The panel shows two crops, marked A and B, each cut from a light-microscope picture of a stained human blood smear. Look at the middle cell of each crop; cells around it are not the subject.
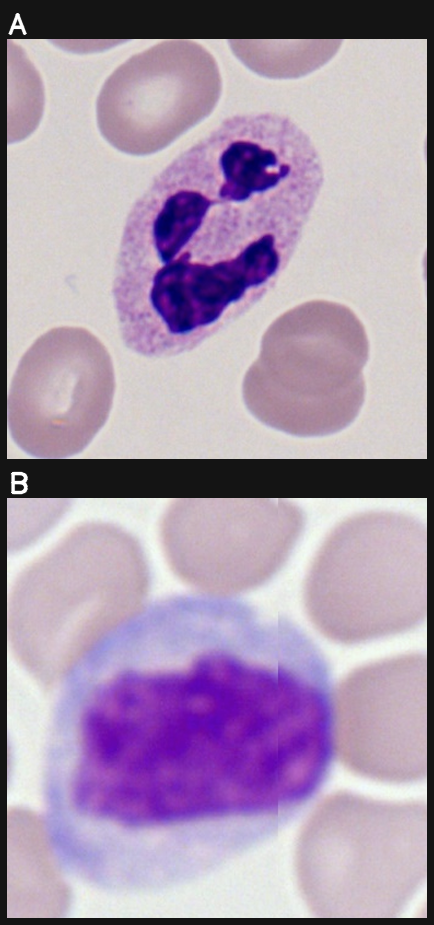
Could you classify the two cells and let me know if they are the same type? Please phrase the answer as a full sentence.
No, crop A displays a segmented neutrophil and crop B displays a monocyte.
